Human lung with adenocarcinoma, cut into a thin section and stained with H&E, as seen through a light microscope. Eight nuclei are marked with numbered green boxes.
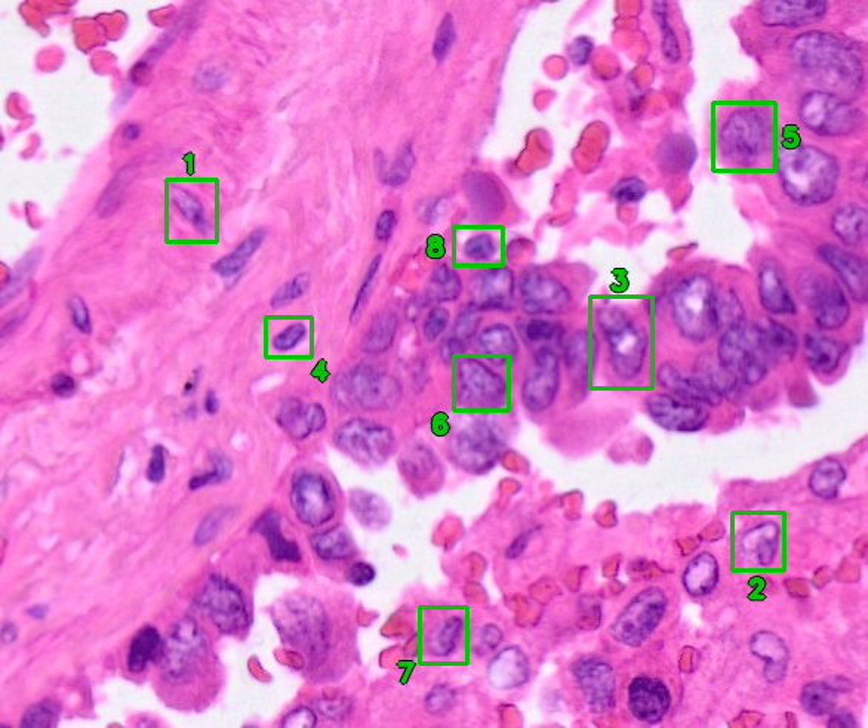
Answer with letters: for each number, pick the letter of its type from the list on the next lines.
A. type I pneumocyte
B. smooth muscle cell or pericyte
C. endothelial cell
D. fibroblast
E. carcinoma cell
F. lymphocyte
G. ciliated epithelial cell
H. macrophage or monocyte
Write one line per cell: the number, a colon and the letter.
1: B
2: H
3: E
4: F
5: E
6: E
7: H
8: F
